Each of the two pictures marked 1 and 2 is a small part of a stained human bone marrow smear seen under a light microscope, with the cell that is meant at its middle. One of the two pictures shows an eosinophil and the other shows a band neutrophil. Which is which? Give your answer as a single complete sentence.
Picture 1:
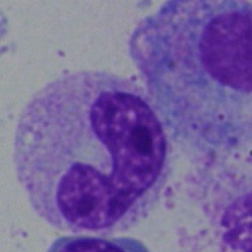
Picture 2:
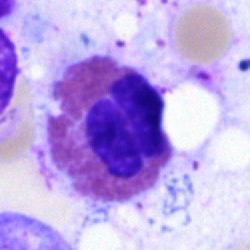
The cell in picture 1 is a band neutrophil, and the one in picture 2 is an eosinophil.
